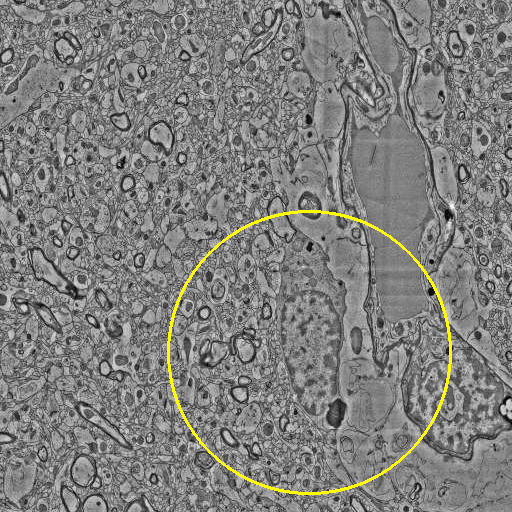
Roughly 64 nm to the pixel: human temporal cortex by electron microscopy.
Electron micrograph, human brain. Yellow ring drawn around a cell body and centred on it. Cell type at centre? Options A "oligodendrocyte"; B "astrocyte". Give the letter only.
A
